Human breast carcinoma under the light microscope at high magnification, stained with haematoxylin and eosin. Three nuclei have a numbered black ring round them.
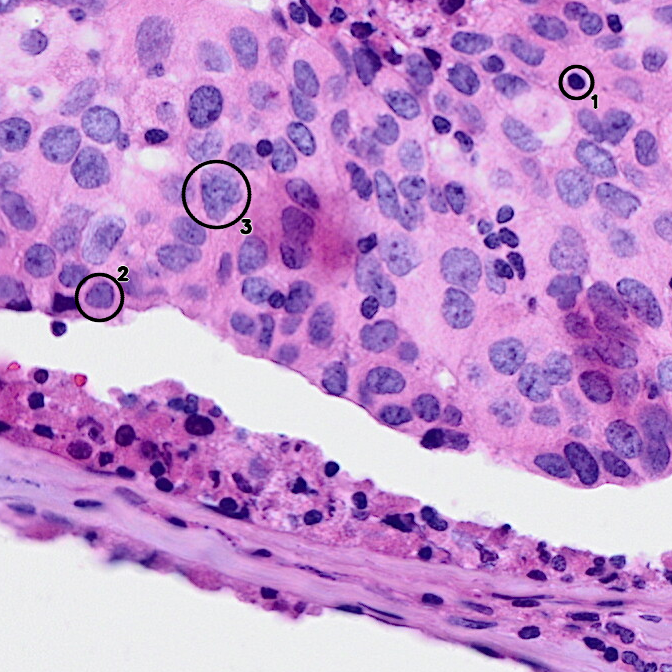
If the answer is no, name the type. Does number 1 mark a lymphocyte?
Yes.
